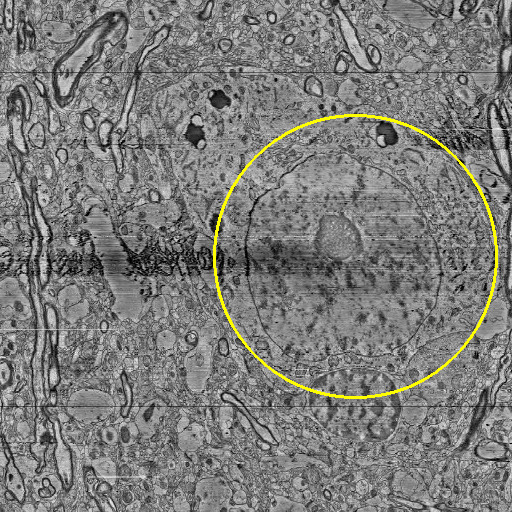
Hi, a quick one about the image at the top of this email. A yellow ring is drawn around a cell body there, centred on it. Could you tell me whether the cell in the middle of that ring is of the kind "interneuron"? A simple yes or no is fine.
no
